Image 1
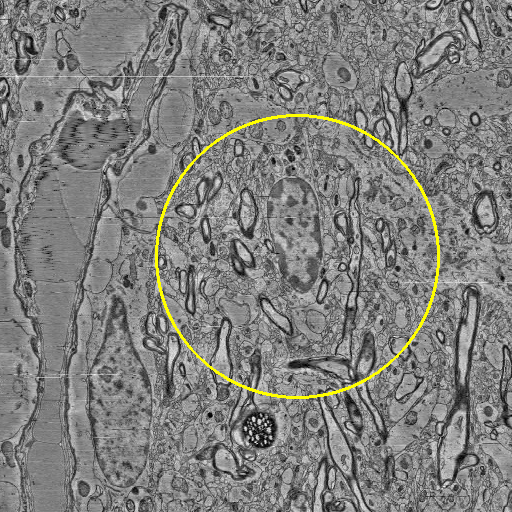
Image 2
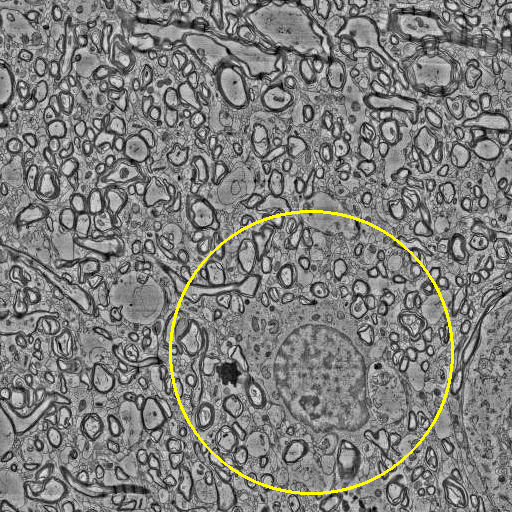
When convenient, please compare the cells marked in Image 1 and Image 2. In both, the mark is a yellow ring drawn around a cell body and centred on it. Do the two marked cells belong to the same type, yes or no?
no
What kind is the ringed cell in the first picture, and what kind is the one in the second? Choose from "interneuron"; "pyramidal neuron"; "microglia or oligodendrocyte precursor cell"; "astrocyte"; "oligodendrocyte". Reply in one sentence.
The first cell is a microglial cell or oligodendrocyte precursor cell; the second is an oligodendrocyte.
